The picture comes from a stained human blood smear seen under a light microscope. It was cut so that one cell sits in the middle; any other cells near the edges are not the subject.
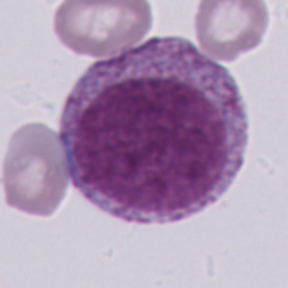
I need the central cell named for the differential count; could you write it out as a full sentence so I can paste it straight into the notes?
Of the cells in this crop, the central one is a promyelocyte.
